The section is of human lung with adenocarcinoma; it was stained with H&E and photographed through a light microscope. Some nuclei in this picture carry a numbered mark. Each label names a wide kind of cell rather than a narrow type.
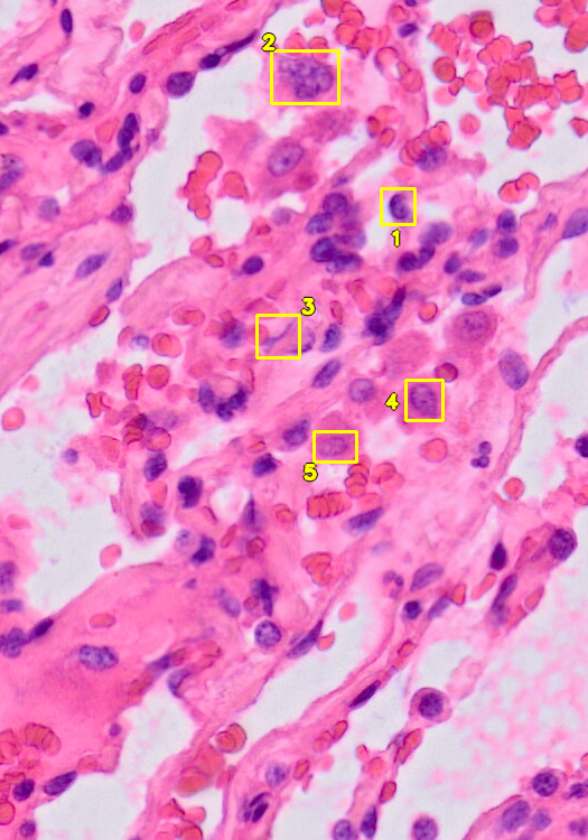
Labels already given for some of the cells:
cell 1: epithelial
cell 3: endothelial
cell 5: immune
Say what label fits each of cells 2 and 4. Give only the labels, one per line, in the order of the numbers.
epithelial
immune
